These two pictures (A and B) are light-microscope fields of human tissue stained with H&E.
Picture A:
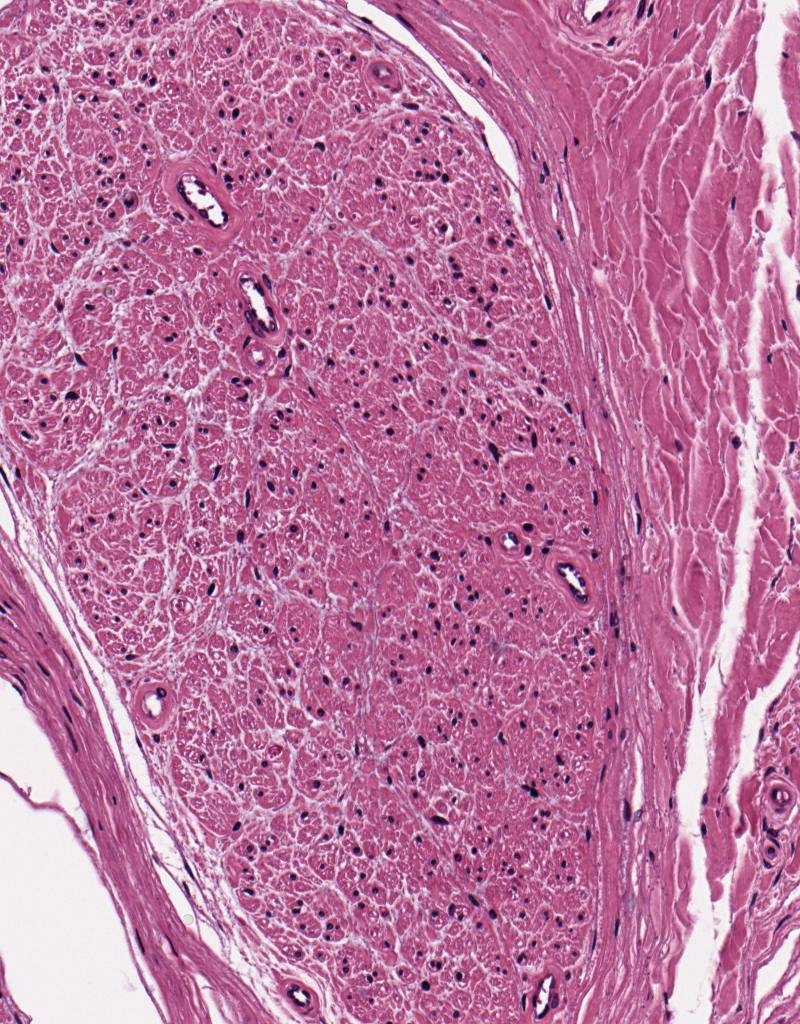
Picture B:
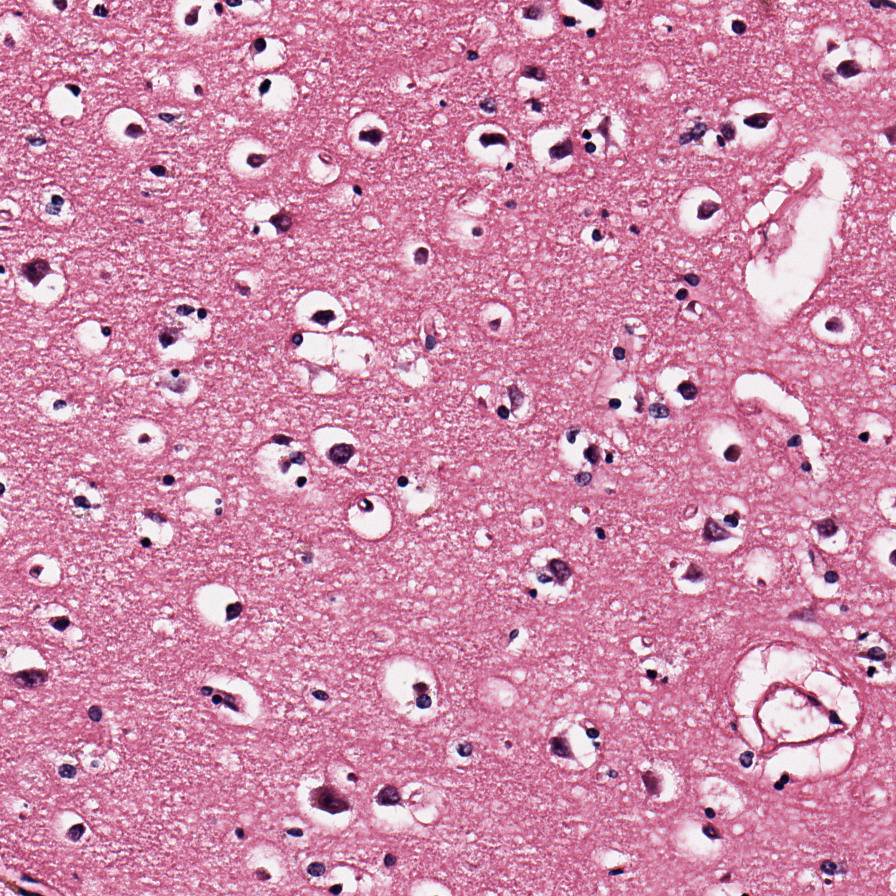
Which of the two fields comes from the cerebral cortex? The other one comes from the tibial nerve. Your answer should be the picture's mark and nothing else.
B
